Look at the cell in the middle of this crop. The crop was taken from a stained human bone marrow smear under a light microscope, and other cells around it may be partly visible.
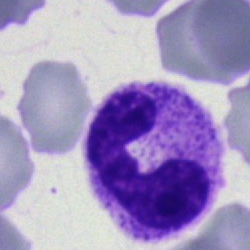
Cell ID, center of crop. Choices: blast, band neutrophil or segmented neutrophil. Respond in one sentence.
The centered cell in this crop is a band neutrophil.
